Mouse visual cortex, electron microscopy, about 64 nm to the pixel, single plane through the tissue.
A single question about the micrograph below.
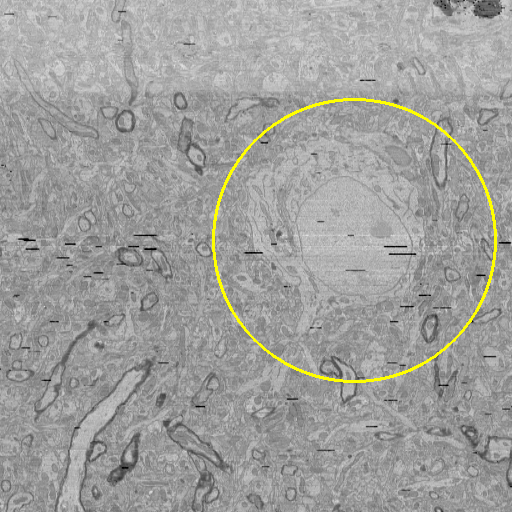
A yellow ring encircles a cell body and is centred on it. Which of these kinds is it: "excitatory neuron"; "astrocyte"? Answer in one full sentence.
The cell body at the centre of the yellow ring belongs to an excitatory neuron.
